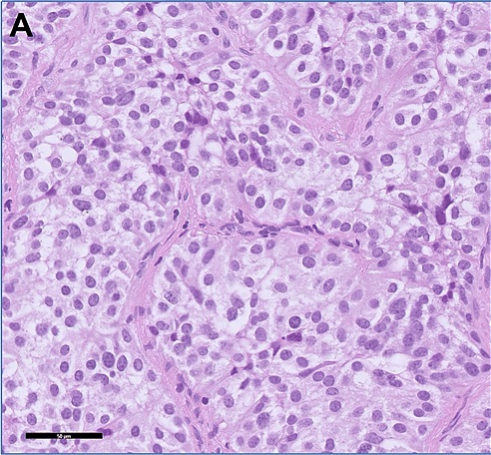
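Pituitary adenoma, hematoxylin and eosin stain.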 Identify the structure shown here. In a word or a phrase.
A: Sinusoidal and solid patterns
